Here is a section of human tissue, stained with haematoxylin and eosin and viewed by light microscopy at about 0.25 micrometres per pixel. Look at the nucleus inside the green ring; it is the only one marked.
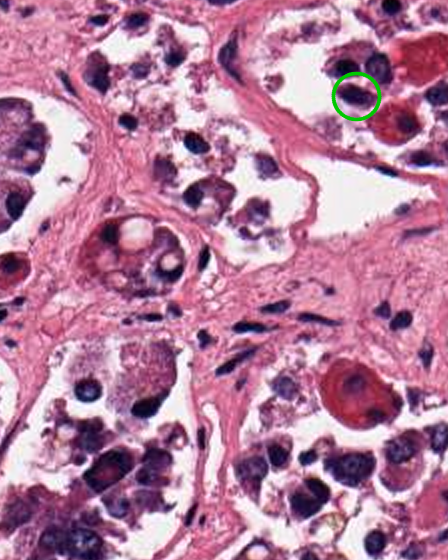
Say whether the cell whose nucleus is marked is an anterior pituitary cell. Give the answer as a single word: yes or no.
yes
